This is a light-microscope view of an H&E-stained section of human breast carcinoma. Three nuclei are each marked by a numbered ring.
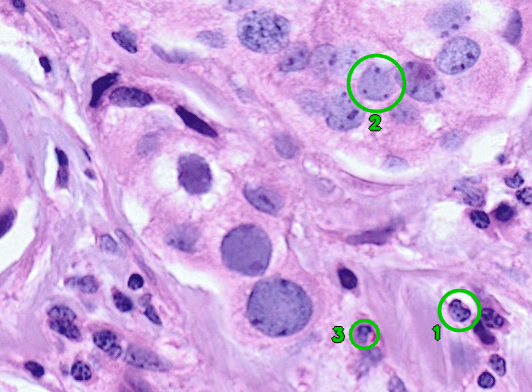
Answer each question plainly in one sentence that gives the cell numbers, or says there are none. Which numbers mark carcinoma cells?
In short, cell 2 is a carcinoma cell; the others are not.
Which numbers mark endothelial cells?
Among the numbered nuclei, only the one labelled 3 belongs to an endothelial cell.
